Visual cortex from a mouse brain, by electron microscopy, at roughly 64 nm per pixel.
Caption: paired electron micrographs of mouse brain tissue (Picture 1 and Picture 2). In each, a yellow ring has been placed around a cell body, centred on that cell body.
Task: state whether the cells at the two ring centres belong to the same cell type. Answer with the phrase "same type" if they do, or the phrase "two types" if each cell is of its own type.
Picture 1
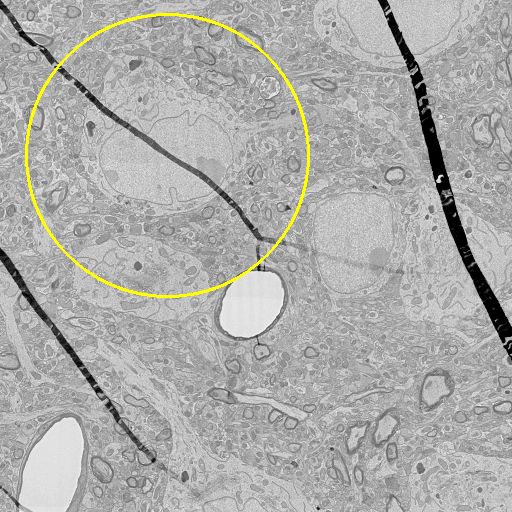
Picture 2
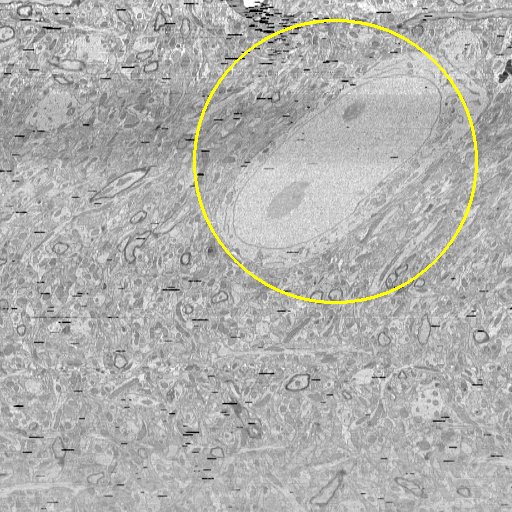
same type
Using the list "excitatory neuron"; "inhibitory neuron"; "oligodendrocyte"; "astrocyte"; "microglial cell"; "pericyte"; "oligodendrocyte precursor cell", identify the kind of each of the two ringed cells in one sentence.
Both rings mark an excitatory neuron, one in each picture.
